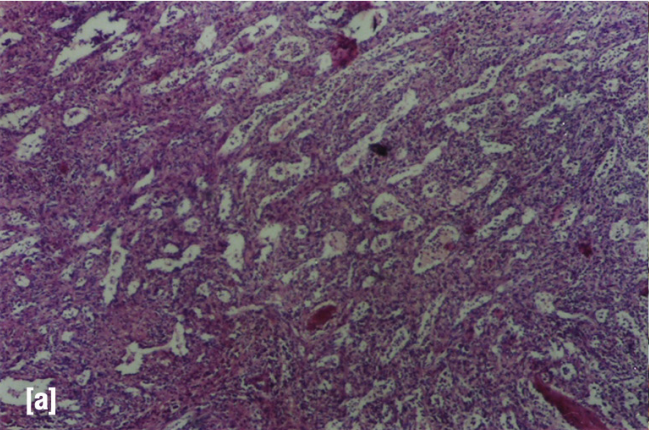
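Tumor tissue of oval to spindle cells crowded around numerous dilated, sinuous vascular channels. The channels appear as clear, branching and winding spaces scattered through the field.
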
